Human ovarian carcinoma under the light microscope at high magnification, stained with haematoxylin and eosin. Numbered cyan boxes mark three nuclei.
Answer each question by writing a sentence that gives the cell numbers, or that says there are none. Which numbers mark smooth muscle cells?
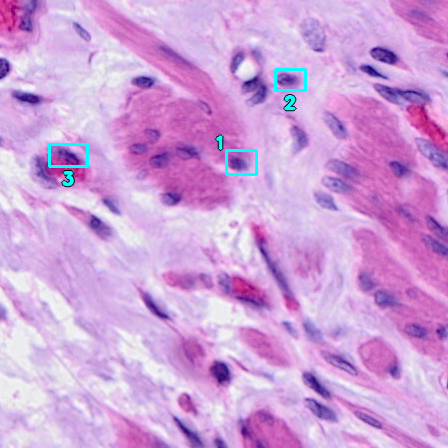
Of all the cells bearing numbers, cell 1 is the only one that is a smooth muscle cell.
